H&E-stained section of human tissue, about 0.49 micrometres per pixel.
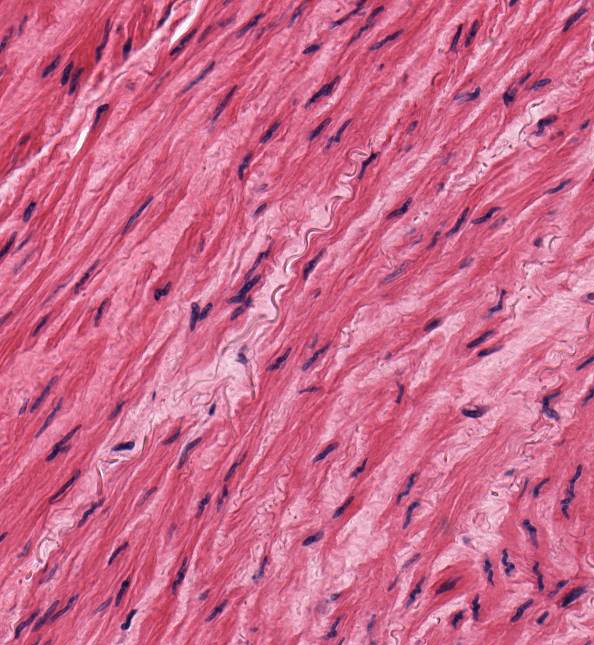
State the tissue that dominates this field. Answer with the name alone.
tunica media of an artery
